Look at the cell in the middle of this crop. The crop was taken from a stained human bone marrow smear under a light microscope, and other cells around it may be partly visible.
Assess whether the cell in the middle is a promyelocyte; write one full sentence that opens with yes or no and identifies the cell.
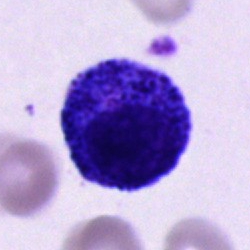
Yes, as regards the cell in the middle, it is a promyelocyte.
